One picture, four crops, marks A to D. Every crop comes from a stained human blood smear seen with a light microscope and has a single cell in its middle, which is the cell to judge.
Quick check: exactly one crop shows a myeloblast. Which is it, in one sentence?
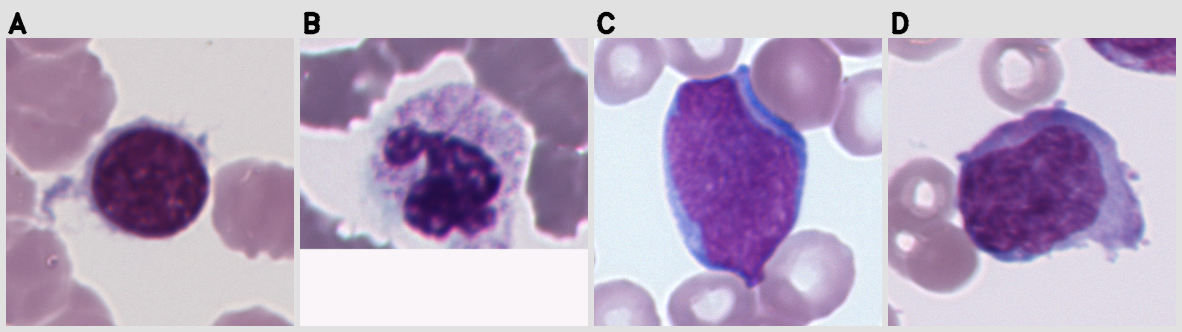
Crop C is the one in this set that shows a myeloblast.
